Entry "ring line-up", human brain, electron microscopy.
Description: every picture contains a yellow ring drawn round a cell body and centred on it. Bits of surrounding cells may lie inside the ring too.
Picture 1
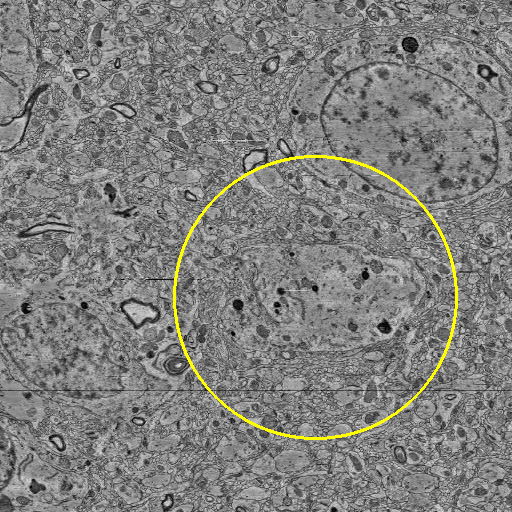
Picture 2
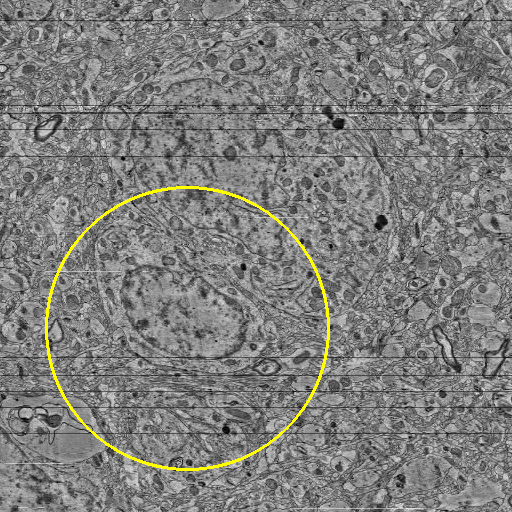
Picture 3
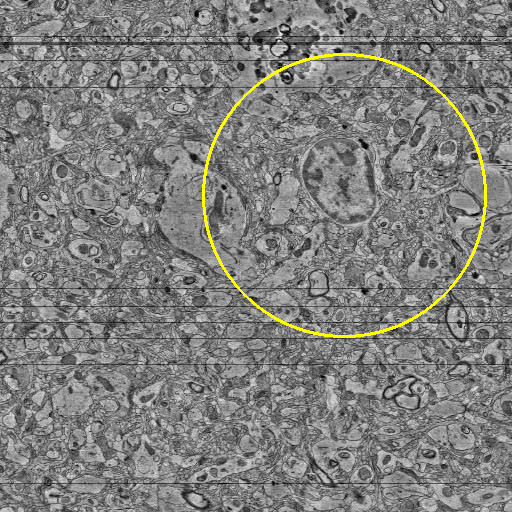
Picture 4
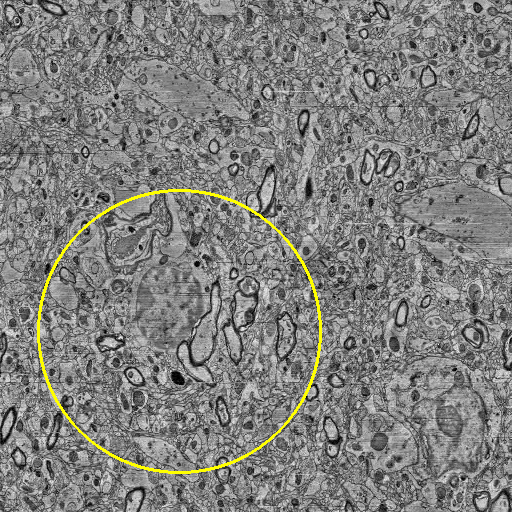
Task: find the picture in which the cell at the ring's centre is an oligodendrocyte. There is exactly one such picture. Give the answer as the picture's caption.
Picture 4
